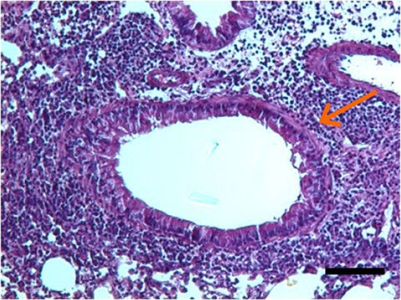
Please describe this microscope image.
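This lung section shows a large airway surrounded by inflammatory cell infiltration. The airway has a wide open, oval lumen lined by a continuous layer of columnar epithelium stained pink-purple, with a thin band of pink wall beneath it. Around the wall lies a thick cuff of densely packed small cells with round dark purple nuclei, extending into the neighbouring tissue and around smaller airways and vessels at the top of the field. Alveolar spaces are sparse and compressed, only a few clear spaces remaining at the edges.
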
